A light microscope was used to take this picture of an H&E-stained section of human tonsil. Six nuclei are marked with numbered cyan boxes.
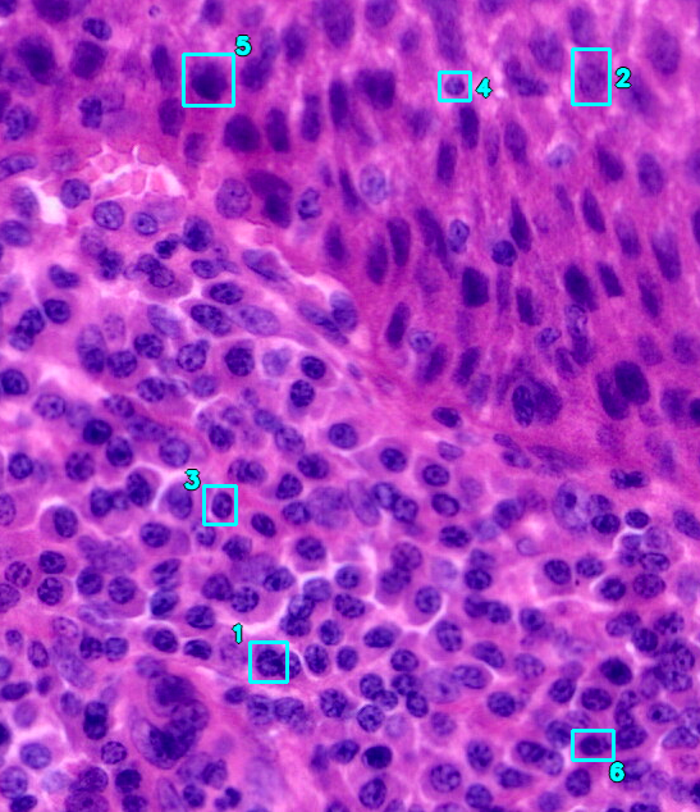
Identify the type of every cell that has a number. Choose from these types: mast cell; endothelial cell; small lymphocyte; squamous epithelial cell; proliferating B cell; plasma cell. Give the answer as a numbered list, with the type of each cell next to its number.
1. plasma cell
2. squamous epithelial cell
3. plasma cell
4. squamous epithelial cell
5. squamous epithelial cell
6. plasma cell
